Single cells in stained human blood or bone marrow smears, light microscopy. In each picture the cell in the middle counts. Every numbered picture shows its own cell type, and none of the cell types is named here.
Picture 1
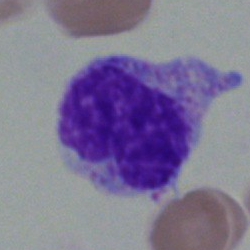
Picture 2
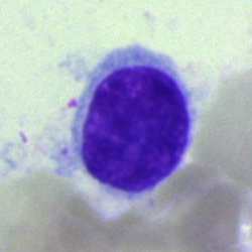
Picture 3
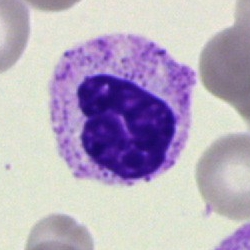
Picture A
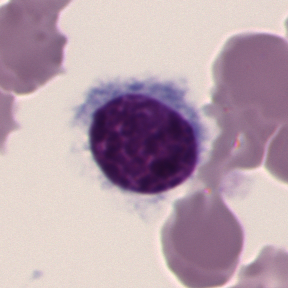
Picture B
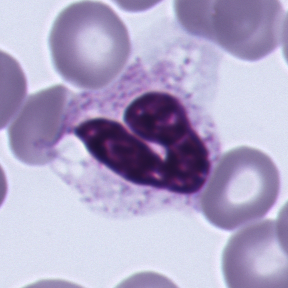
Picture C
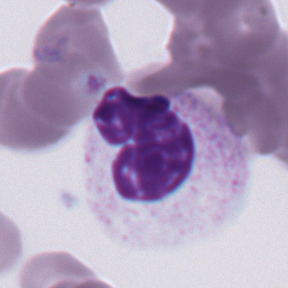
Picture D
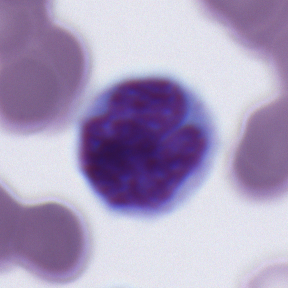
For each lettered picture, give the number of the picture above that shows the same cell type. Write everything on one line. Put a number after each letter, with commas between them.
A 2, B 3, C 3, D 1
